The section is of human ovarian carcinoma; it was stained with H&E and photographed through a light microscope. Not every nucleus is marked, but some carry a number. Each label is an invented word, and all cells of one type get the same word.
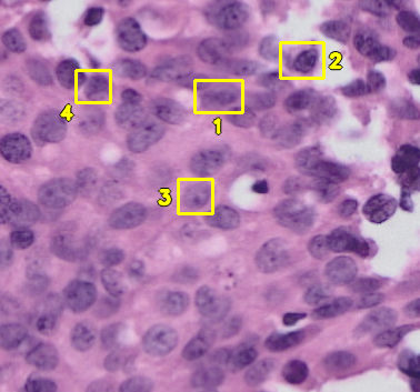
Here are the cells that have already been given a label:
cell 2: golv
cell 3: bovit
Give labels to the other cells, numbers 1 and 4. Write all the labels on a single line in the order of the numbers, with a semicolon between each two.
bovit; bovit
